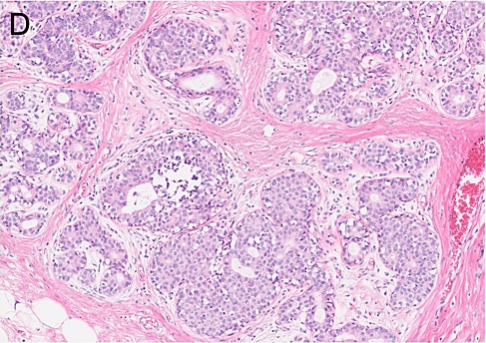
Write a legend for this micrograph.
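Rounded lobular spaces are filled with a proliferation of atypical epithelial cells with enlarged, near-circular nuclei. Some nests form sieve-like cribriform spaces, while others are solid sheets of cells. The nests are separated by pink fibrous stroma, with a few fat cells at the lower left and a vessel with red blood cells at the right edge.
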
